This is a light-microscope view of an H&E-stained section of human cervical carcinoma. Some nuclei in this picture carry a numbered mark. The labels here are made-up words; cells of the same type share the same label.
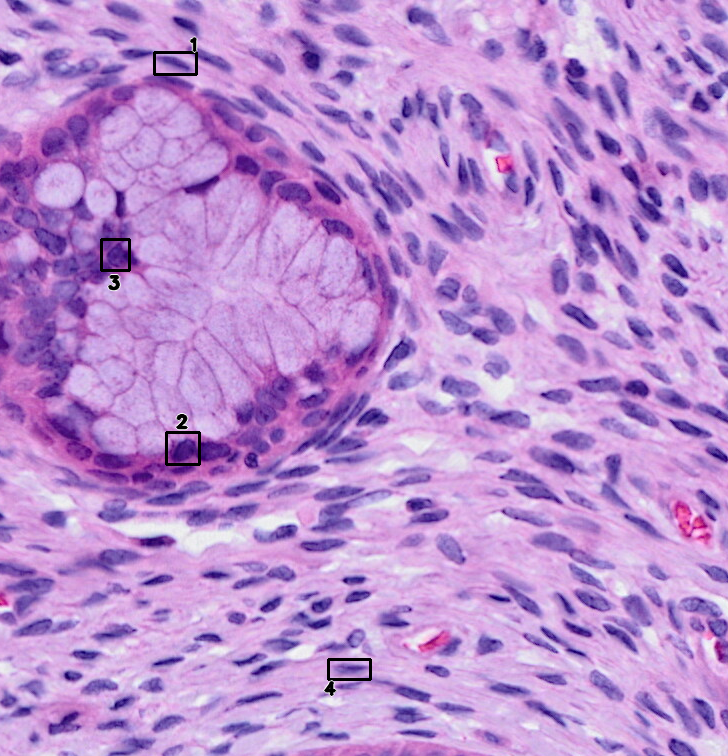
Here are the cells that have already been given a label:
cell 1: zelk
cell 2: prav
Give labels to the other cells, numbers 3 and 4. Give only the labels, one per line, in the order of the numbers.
prav
zelk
